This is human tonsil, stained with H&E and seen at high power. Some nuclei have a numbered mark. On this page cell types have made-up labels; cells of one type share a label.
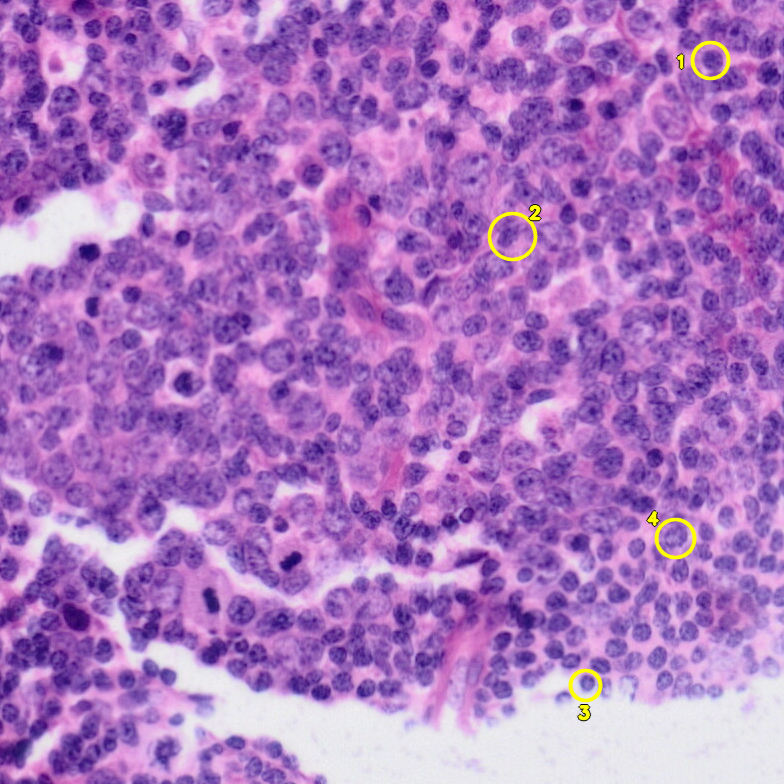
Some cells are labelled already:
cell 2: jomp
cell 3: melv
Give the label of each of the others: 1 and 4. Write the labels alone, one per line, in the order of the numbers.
jomp
jomp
